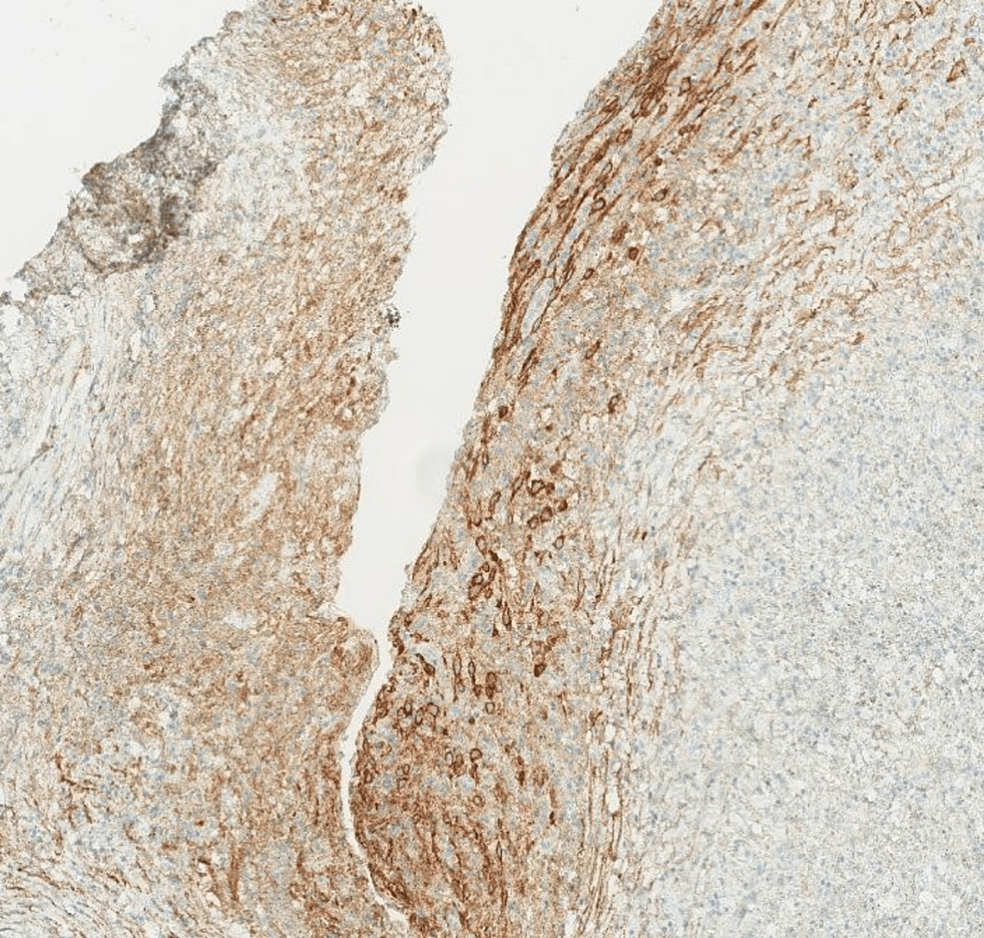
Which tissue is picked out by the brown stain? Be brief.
stroma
